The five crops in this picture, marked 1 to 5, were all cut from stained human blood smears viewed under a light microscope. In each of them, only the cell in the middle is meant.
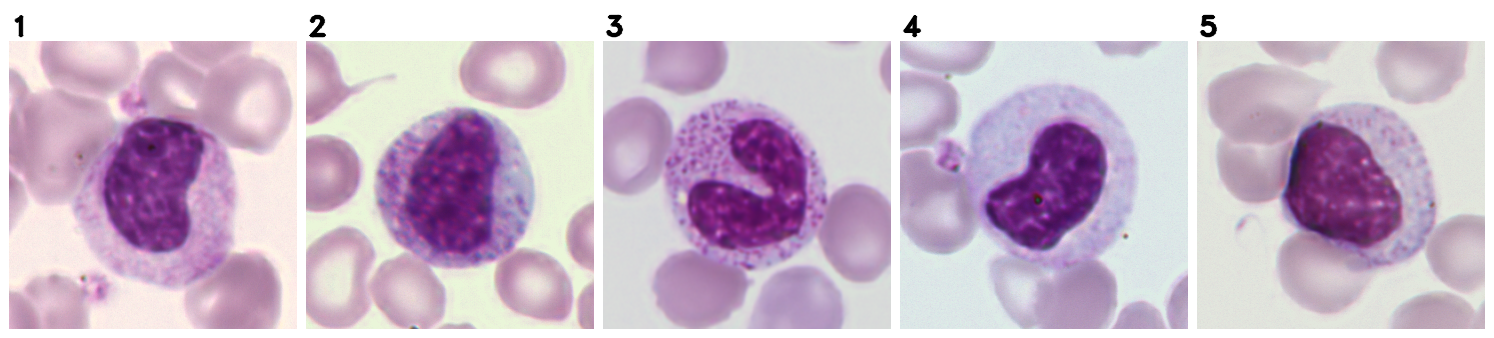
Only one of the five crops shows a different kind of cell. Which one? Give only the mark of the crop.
3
